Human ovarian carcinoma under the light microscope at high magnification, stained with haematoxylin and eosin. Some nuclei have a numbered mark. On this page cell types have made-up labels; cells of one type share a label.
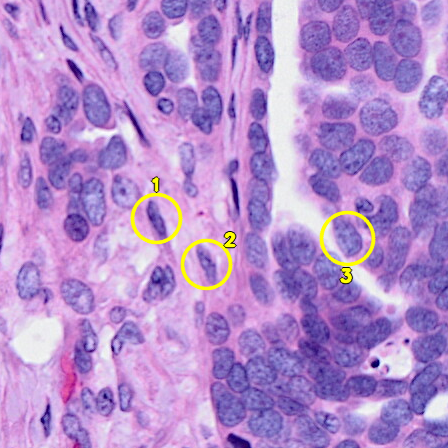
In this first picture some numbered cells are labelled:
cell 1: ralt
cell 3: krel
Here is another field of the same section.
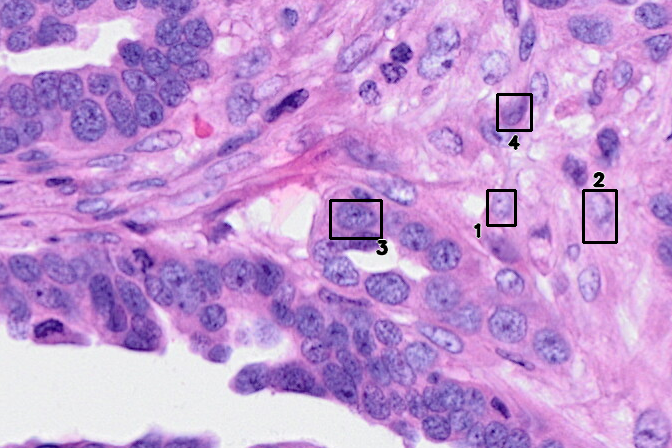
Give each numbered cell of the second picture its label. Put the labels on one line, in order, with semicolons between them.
ralt; ralt; krel; ralt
